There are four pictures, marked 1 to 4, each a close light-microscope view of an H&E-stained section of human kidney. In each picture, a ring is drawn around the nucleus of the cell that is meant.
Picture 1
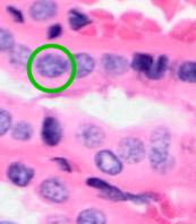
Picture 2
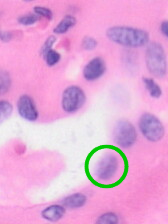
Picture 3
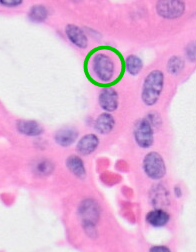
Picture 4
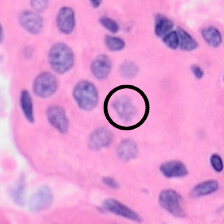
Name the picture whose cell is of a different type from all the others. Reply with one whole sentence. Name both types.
Unlike the rest, which show collecting duct cells, picture 4 shows a “loop of Henle or distal tubule cell”.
